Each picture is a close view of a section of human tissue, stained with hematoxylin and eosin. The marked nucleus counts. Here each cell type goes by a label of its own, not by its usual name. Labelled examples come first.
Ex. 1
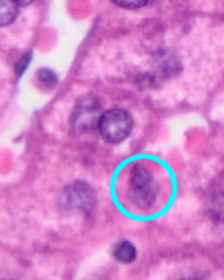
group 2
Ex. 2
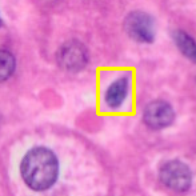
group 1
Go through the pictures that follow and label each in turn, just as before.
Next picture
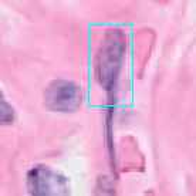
group 2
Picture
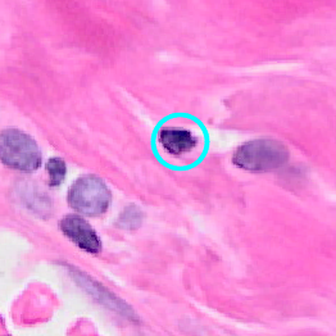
group 1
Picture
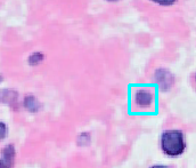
group 1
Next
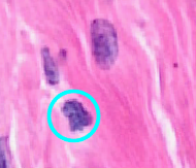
group 1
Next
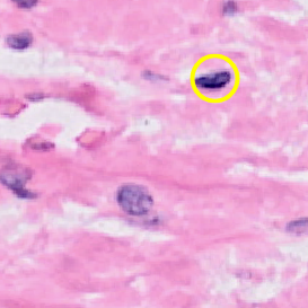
group 1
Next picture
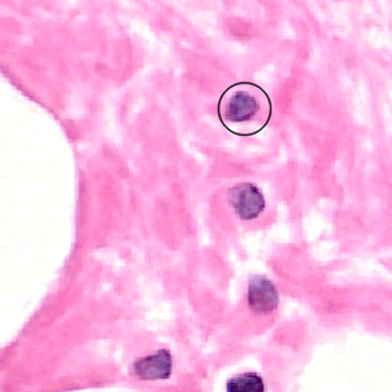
group 1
